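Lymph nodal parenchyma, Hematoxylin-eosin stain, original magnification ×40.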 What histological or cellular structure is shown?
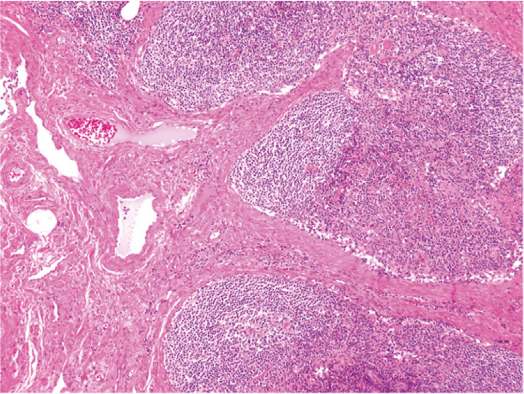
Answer: thick-walled vessels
